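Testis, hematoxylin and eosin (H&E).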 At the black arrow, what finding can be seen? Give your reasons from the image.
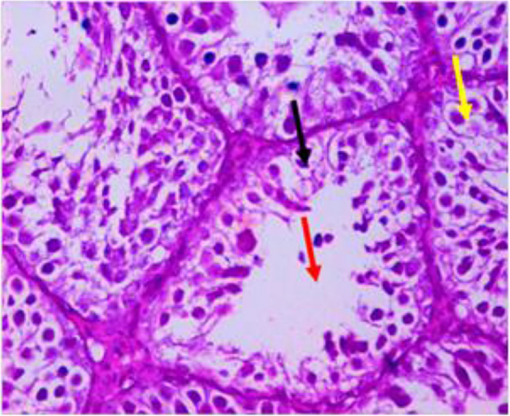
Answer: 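The arrow points to the inner epithelium of a tubule, which is thin and disorganised. Cells there are loosely arranged, with pale, vacuolated cytoplasm and gaps between them. On this evidence: degeneration and lose of spermatogenic series.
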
